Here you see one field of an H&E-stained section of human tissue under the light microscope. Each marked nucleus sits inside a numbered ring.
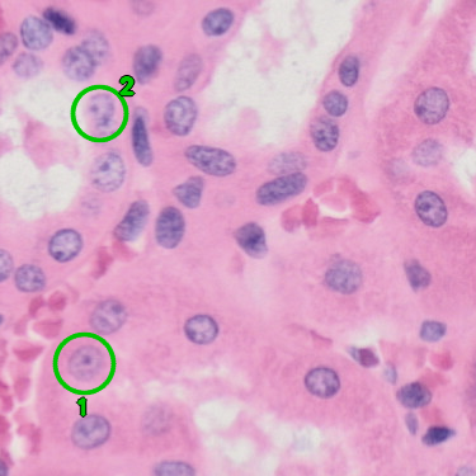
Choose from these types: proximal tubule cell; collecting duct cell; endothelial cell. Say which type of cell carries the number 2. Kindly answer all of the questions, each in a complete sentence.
That cell with number 2 is a collecting duct cell.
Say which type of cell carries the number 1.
The one numbered 1 among the marked cells is a proximal tubule cell.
